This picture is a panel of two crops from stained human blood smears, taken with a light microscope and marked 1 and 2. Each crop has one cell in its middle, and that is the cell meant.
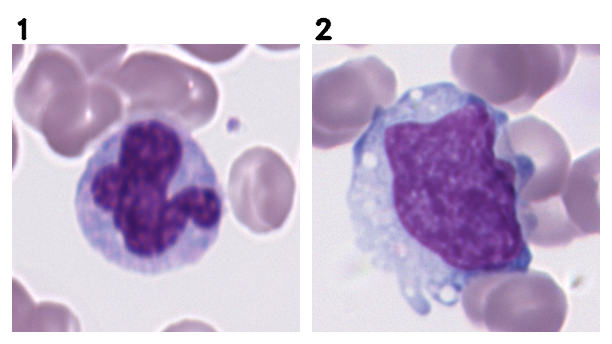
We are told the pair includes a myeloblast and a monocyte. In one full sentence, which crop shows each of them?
Crop 1 is occupied by a monocyte, and crop 2 is occupied by a myeloblast.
